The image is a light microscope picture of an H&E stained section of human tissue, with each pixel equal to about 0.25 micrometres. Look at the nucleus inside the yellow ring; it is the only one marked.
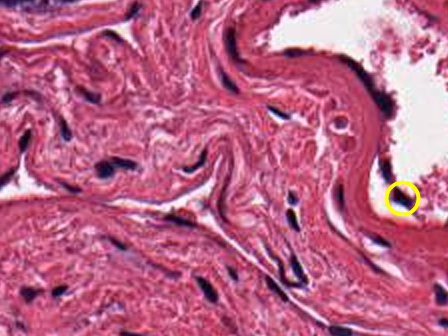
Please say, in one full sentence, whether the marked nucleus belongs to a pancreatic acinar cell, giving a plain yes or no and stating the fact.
No, the cell bearing the marked nucleus is not a pancreatic acinar cell but a supporting cell.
